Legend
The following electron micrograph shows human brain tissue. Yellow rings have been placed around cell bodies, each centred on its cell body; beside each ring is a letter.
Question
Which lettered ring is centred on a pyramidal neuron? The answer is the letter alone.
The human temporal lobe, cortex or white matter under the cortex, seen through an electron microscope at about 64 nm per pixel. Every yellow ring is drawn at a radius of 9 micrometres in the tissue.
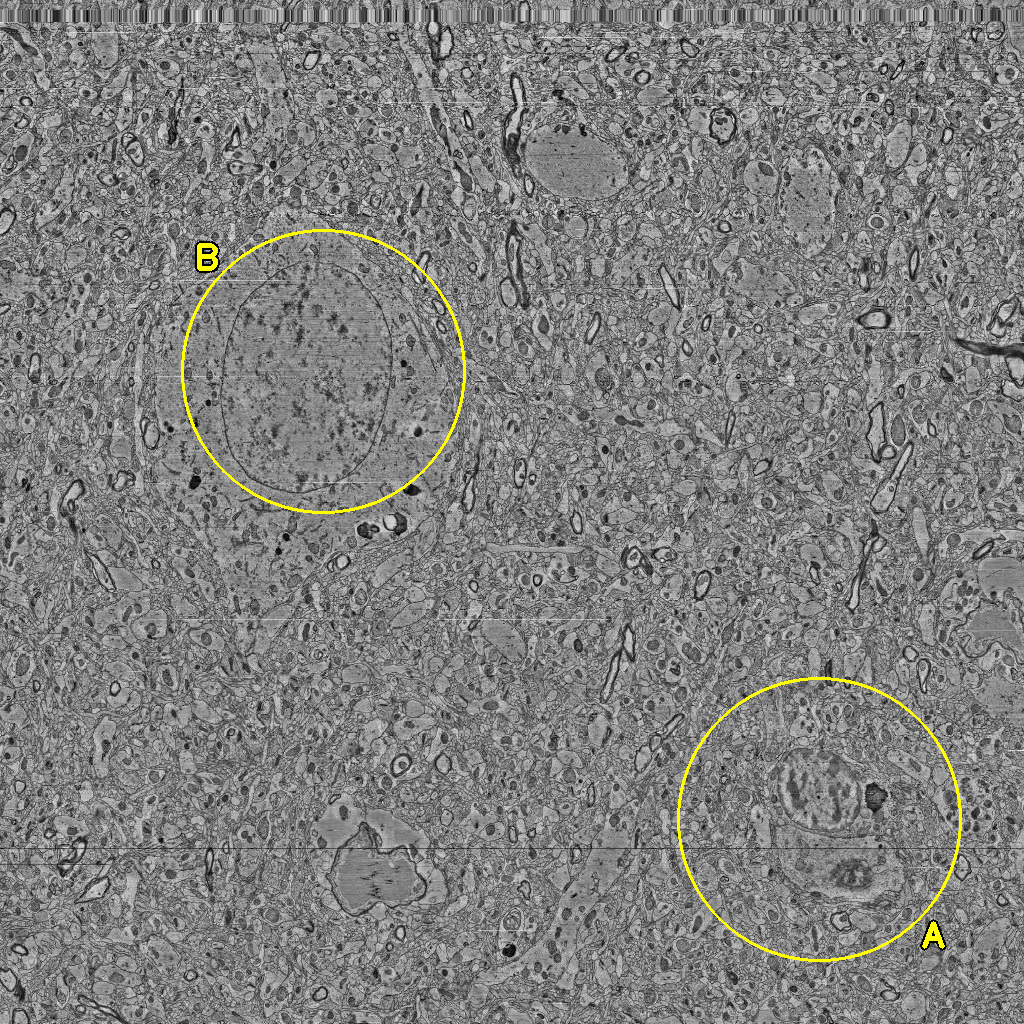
B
